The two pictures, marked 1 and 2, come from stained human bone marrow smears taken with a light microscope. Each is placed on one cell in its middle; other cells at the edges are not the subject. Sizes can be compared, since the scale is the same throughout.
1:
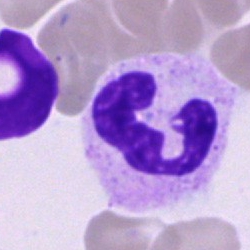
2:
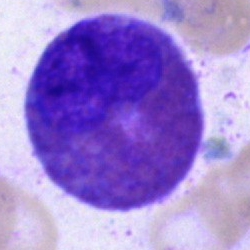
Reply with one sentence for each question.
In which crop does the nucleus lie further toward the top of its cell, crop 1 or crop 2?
In crop 2 the nucleus is shifted more toward the top.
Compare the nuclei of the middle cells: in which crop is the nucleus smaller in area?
Crop 1 shows the smaller nucleus, since that in crop 2 covers about 1.5 times as much area.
